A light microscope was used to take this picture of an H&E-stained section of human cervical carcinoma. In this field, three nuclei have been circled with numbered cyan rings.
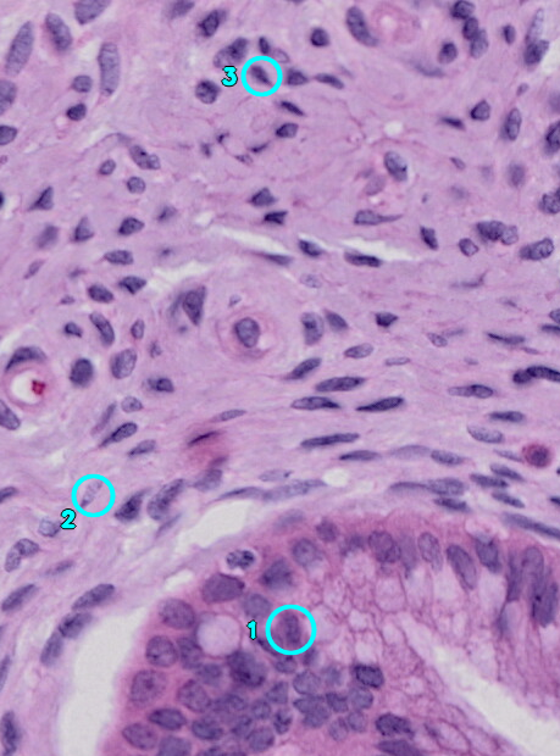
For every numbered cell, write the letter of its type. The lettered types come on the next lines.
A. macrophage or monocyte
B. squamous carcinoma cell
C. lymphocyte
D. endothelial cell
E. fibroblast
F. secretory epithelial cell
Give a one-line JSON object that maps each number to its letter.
{"1": "F", "2": "E", "3": "E"}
